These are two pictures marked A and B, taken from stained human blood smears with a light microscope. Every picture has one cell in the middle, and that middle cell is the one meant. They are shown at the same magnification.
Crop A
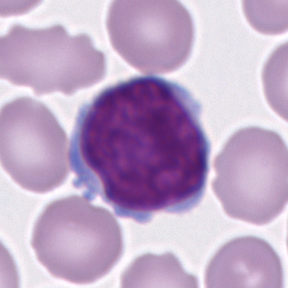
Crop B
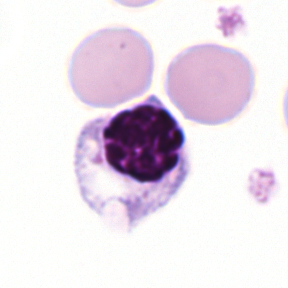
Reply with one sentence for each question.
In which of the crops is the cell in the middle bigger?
The cell in crop A is larger, with about 2 times the area of the one in crop B.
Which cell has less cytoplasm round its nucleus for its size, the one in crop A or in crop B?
It is the cell in crop A that is filled more by its nucleus.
